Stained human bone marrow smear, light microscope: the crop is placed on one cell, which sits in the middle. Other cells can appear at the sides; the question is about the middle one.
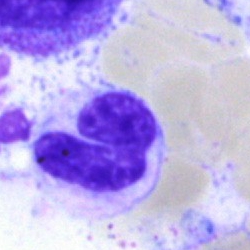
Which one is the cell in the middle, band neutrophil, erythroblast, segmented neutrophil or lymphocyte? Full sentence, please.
Centrally within this crop lies a band neutrophil.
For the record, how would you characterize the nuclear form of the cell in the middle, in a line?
The nucleus is one compact mass, round, oval or kidney-shaped in outline.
